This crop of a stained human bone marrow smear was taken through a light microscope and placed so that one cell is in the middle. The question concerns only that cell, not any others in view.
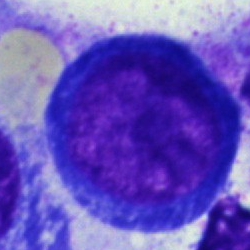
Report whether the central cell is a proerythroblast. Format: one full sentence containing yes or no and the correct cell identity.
Yes, the central element of the crop is a proerythroblast.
